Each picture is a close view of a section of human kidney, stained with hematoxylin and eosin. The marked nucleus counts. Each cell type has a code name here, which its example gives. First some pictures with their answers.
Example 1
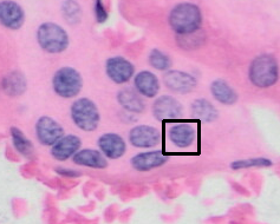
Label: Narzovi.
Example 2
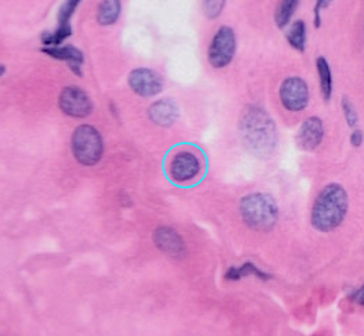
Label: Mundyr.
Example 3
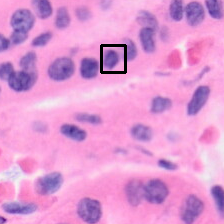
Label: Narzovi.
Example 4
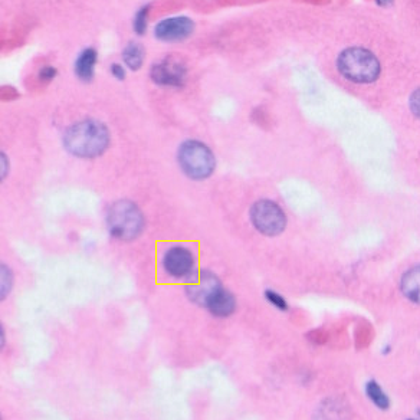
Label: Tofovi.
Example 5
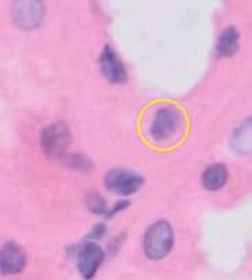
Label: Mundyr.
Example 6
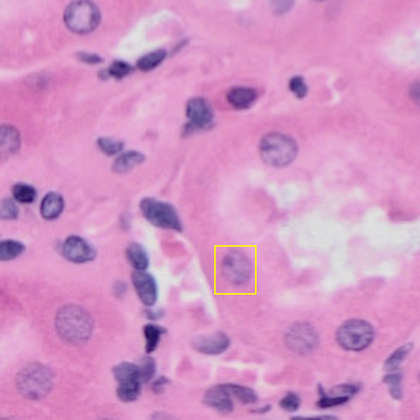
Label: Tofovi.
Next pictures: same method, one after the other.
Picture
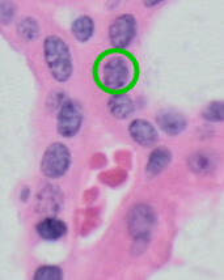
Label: Narzovi.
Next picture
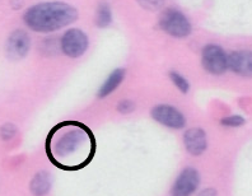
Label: Narzovi.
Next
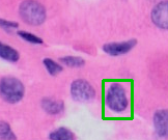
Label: Mundyr.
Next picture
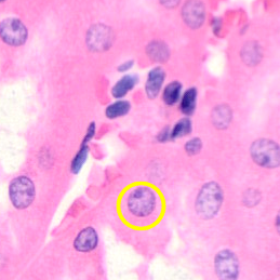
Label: Tofovi.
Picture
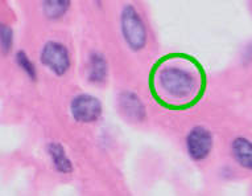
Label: Mundyr.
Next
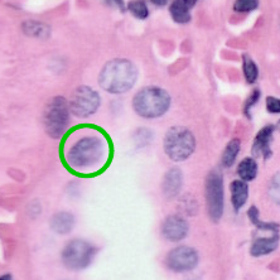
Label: Narzovi.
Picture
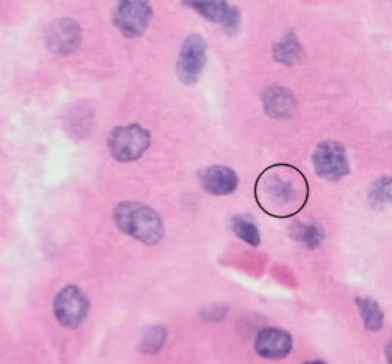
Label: Mundyr.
